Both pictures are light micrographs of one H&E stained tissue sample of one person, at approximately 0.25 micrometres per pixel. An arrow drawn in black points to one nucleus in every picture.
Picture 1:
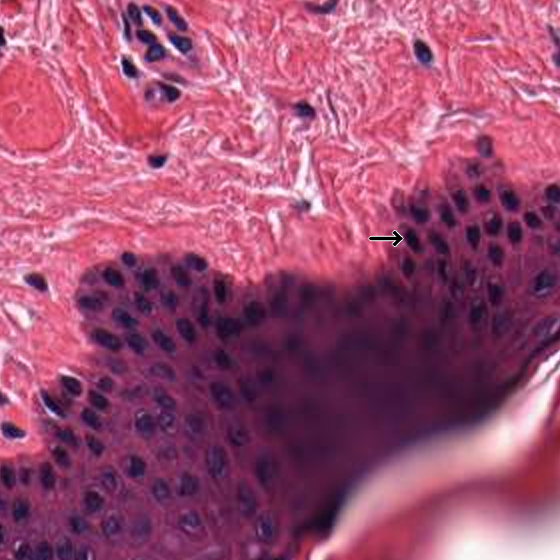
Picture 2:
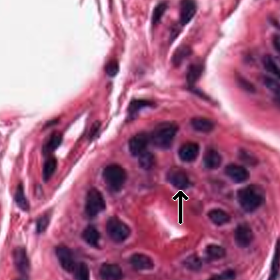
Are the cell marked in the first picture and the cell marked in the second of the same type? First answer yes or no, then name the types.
No, the first is a keratinocyte and the second a sweat gland cell.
